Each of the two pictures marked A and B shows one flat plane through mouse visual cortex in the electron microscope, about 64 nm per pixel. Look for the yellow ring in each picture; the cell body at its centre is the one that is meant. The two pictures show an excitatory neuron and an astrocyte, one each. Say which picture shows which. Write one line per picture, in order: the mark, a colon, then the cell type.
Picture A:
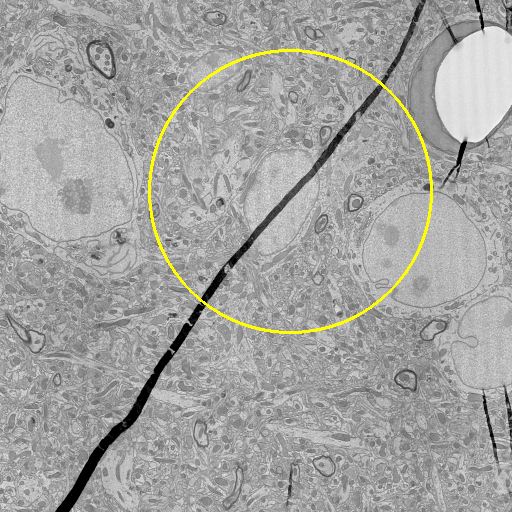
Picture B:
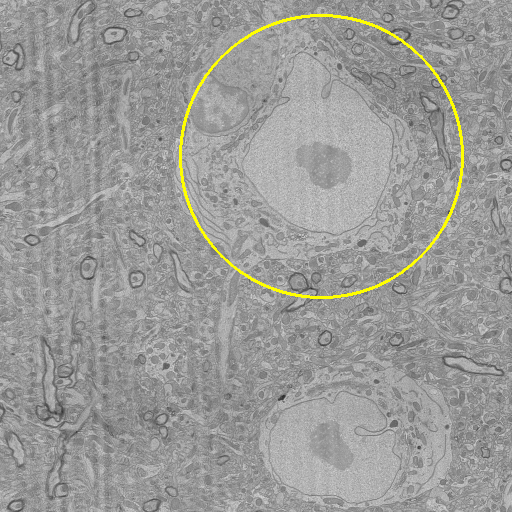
A: astrocyte
B: excitatory neuron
